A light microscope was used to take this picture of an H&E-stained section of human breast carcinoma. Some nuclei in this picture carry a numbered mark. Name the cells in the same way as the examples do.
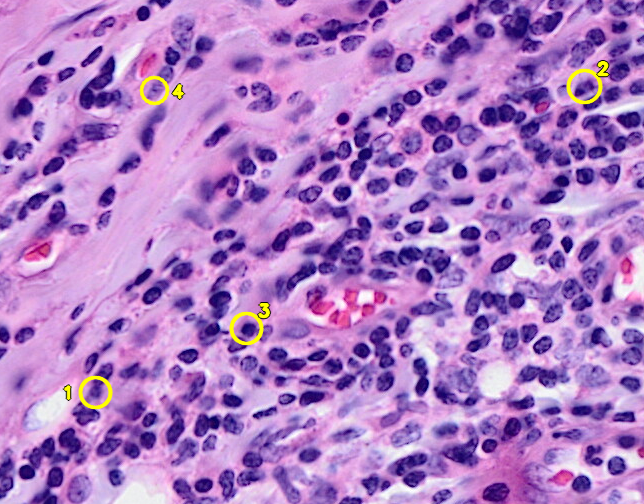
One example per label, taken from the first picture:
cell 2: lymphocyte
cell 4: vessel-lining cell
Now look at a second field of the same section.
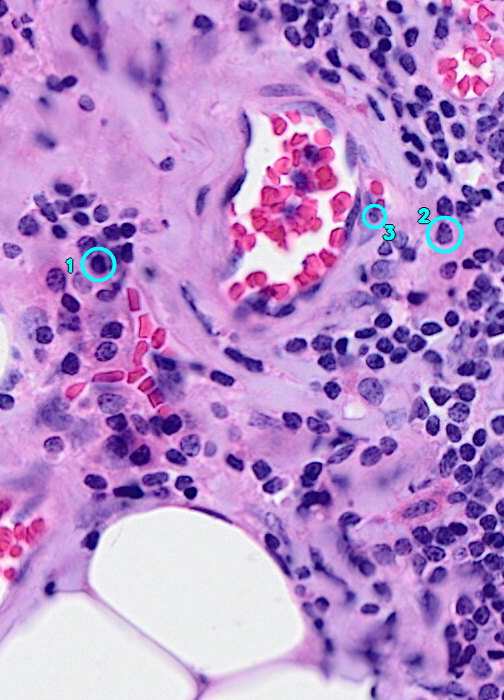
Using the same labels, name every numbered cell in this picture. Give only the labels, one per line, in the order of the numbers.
lymphocyte
lymphocyte
vessel-lining cell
